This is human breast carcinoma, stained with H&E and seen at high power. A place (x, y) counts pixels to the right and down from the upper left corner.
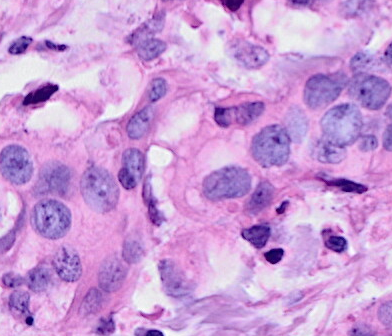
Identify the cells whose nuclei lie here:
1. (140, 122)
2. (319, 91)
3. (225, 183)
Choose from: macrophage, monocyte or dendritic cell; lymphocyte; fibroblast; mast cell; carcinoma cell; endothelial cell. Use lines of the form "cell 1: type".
cell 1: endothelial cell
cell 2: carcinoma cell
cell 3: carcinoma cell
